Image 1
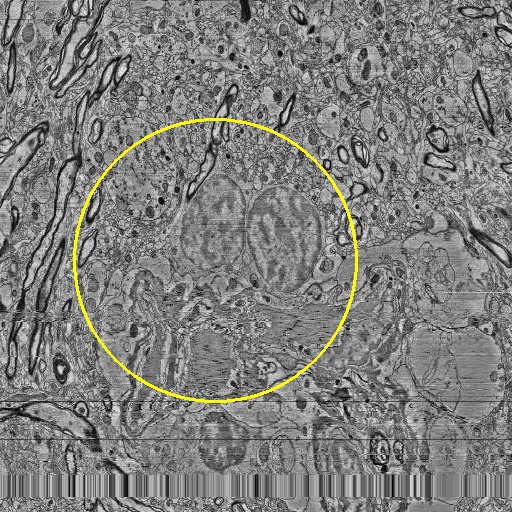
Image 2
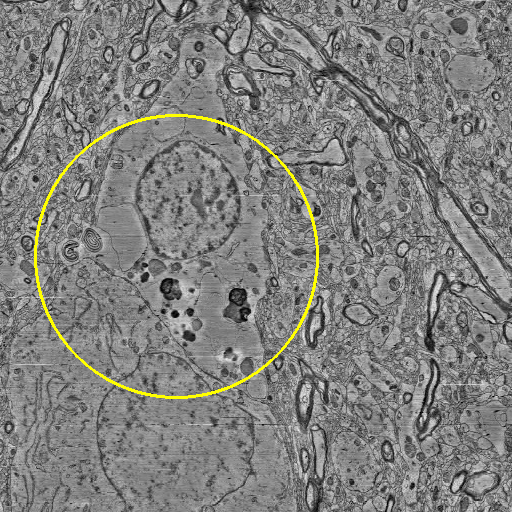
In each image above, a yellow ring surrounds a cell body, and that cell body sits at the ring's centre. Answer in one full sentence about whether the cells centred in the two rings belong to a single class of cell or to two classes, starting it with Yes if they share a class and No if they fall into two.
No, the cells centred in the two yellow rings belong to two classes of cell.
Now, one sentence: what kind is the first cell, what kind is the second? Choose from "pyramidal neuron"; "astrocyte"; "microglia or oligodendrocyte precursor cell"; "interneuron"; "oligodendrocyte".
The first picture has an oligodendrocyte at its ring centre, and the second has an astrocyte.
